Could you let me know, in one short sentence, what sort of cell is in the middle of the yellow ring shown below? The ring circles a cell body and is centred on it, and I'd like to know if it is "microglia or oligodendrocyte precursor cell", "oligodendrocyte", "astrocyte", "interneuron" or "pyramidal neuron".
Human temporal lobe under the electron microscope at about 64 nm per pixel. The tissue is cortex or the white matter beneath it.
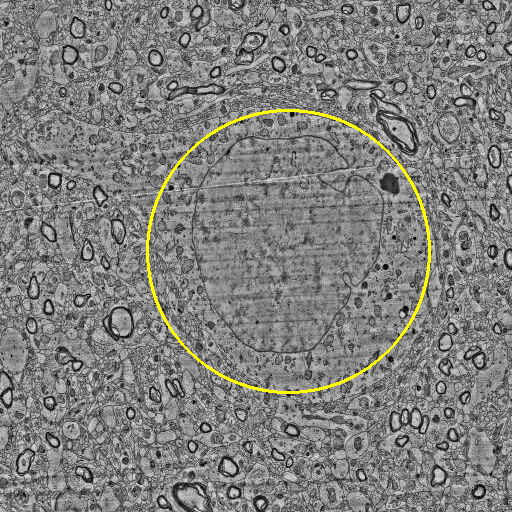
The ring circles the cell body of a pyramidal neuron.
